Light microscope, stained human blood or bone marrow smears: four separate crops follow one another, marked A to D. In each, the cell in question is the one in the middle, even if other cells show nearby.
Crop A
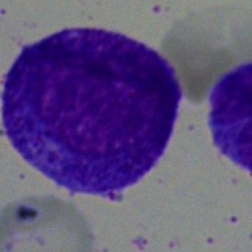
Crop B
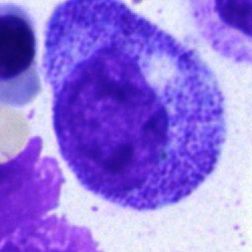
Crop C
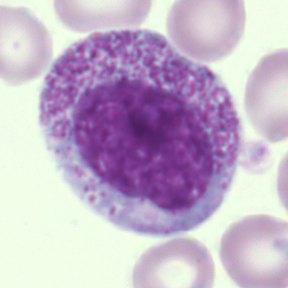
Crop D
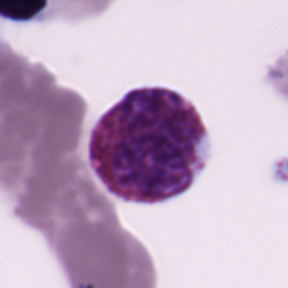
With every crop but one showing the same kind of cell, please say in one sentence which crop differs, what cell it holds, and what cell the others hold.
Crop D, showing an eosinophil, is the exception; the others all show promyelocytes.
